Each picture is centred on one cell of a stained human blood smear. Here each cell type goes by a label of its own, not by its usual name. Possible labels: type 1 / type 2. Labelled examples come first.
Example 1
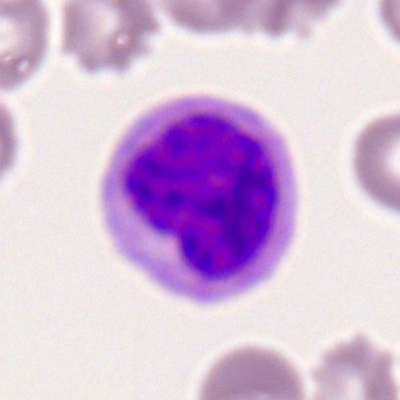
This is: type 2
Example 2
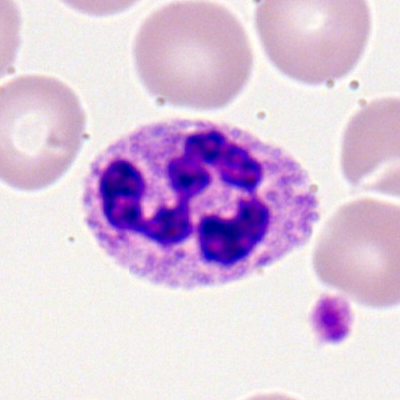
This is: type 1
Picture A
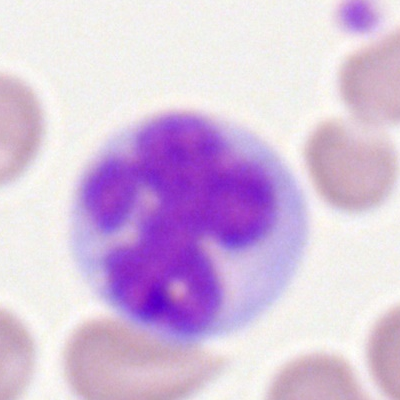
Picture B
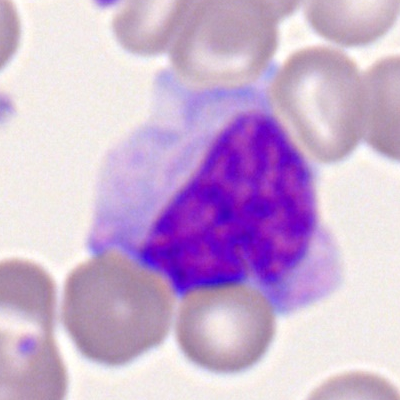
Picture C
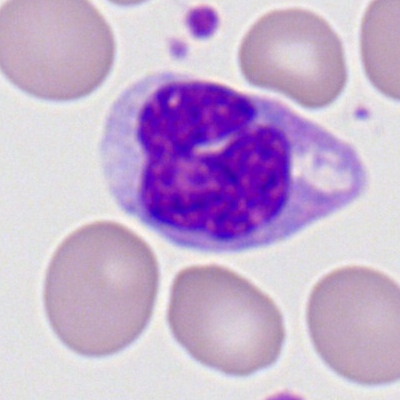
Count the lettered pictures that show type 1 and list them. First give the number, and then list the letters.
0, none of them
